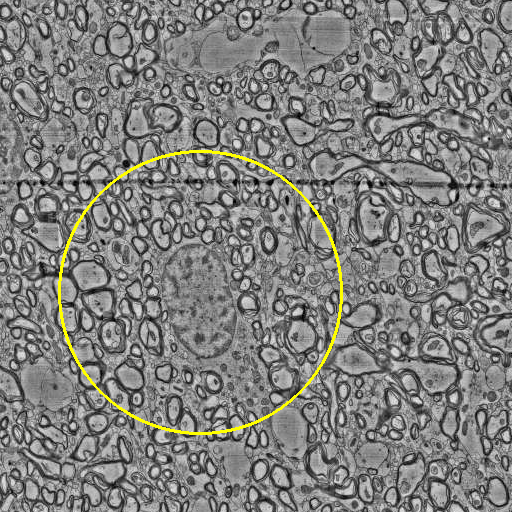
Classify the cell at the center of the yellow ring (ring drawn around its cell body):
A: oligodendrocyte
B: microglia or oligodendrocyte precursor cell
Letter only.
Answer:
A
